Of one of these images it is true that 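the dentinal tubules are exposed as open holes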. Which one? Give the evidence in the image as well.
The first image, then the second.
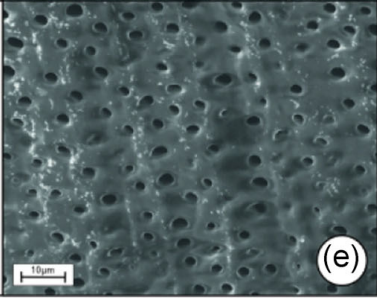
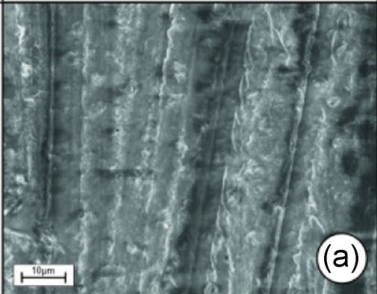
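First image: many round open tubule orifices dot the surface. Second image: a scratched, debris-covered surface with no open orifices. So: the first image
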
